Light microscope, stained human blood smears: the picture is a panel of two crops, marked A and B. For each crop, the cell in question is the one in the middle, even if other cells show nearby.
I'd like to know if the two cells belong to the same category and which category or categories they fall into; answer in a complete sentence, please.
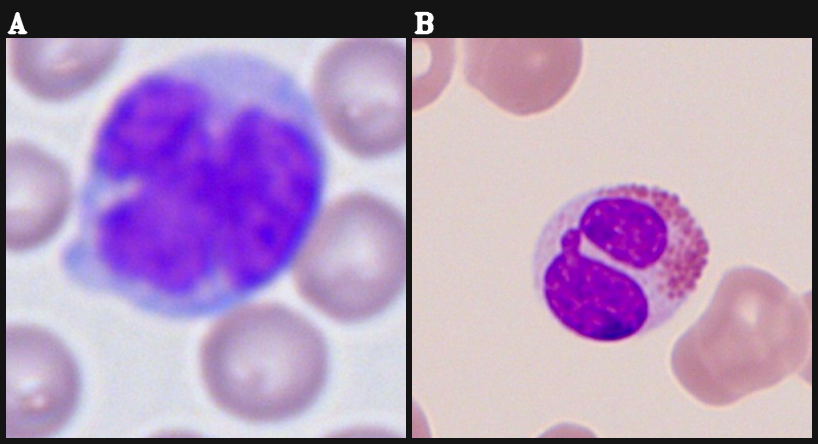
No, on this set crop A shows a monocyte and crop B shows an eosinophil.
